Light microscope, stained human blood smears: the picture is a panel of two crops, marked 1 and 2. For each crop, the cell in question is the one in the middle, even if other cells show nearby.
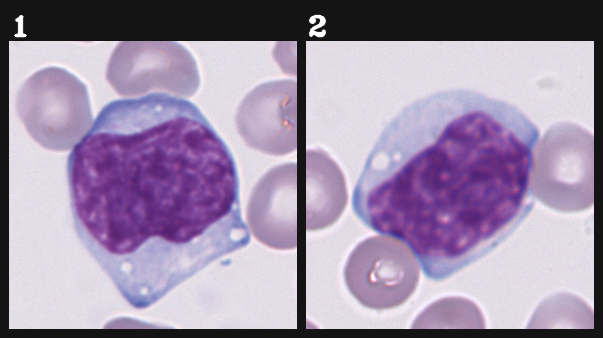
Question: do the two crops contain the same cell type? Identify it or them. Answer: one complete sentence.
Yes, in short, both crops show myeloblasts.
